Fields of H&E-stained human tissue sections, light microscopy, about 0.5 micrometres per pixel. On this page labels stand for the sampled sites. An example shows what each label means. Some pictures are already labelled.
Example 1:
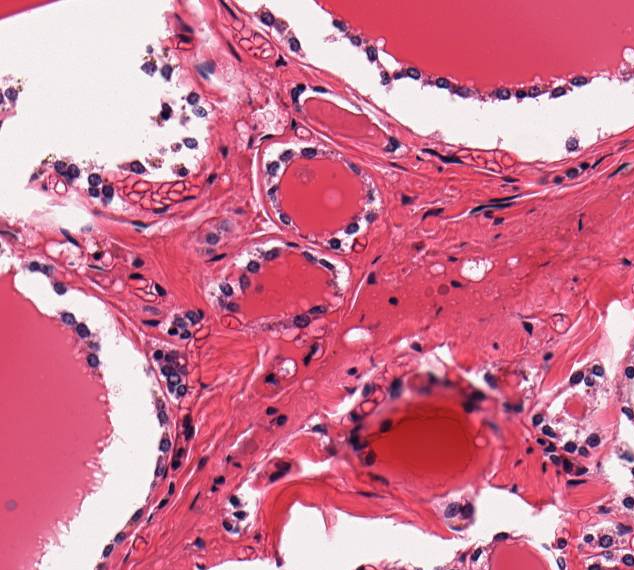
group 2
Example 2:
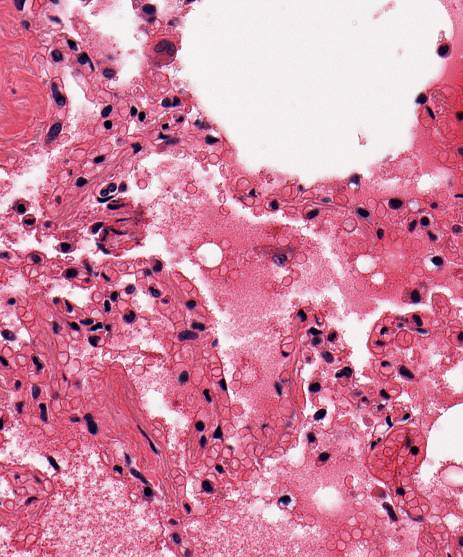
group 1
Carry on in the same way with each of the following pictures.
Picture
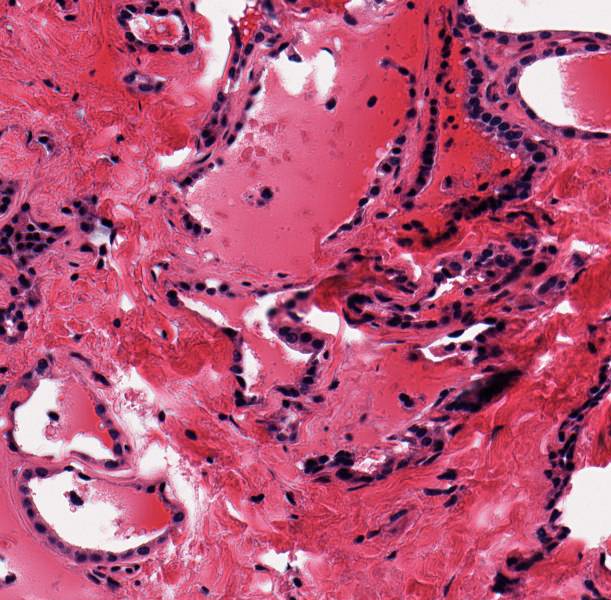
group 2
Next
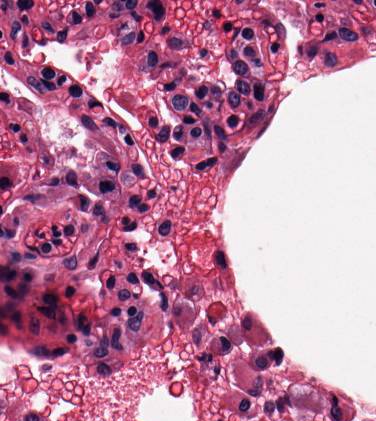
group 1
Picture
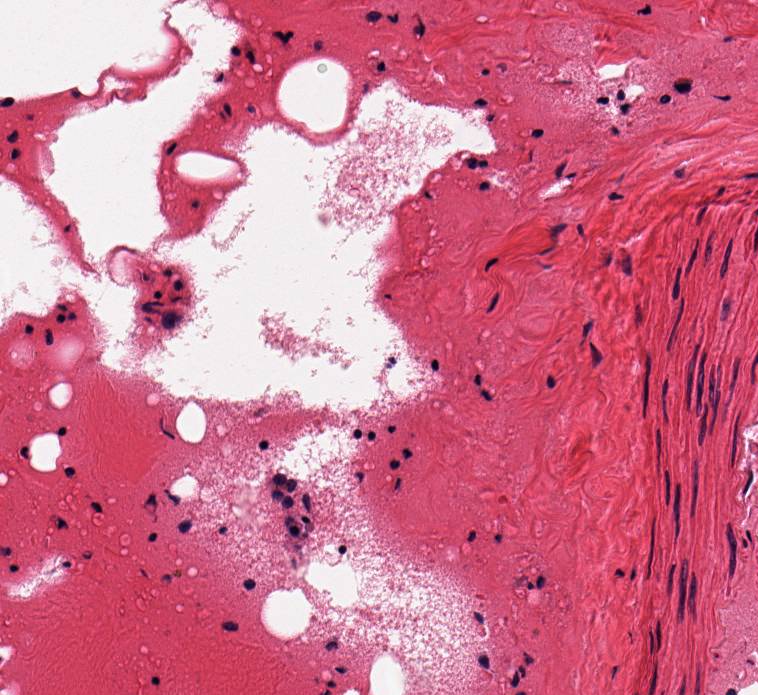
group 2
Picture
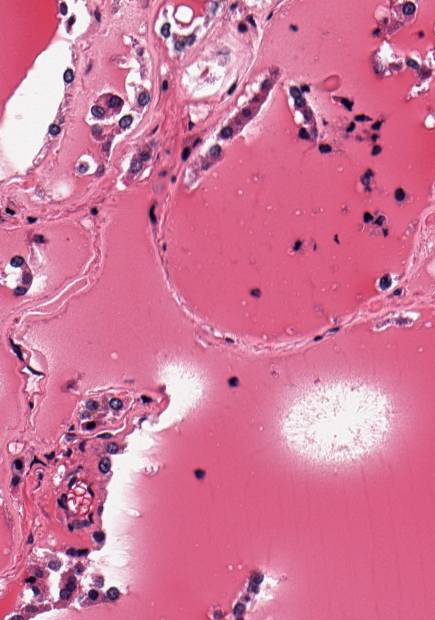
group 2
